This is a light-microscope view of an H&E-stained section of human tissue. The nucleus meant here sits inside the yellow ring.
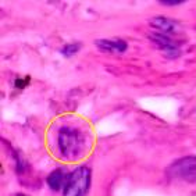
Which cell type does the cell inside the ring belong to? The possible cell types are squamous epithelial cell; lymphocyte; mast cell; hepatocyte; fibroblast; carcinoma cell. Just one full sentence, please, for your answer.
In the context of this tissue, the cell inside the ring is a mast cell.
